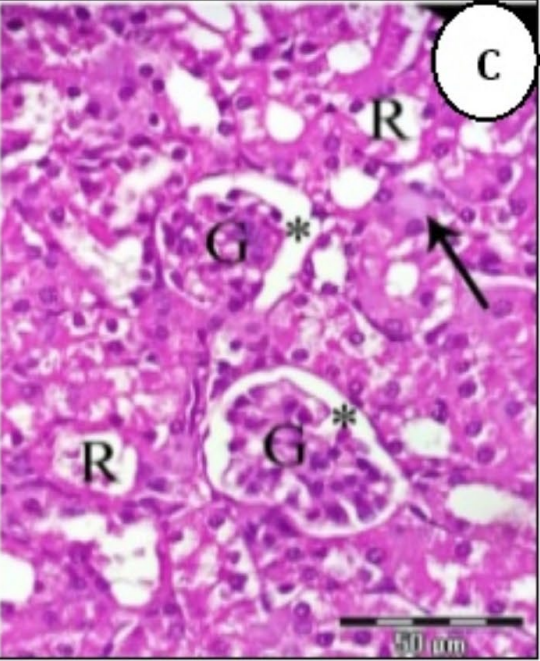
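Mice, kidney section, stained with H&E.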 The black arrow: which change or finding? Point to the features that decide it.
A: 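The arrow points to a tubule whose lumen is filled with pale pink homogeneous material. On this evidence: hyaline casts.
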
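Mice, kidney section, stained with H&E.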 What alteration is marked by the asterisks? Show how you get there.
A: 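The asterisks lie on a clear space between a glomerular tuft and its capsule. The clear space is wide on one side and narrow on the other.
Conclusion: irregular Bowman´s space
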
